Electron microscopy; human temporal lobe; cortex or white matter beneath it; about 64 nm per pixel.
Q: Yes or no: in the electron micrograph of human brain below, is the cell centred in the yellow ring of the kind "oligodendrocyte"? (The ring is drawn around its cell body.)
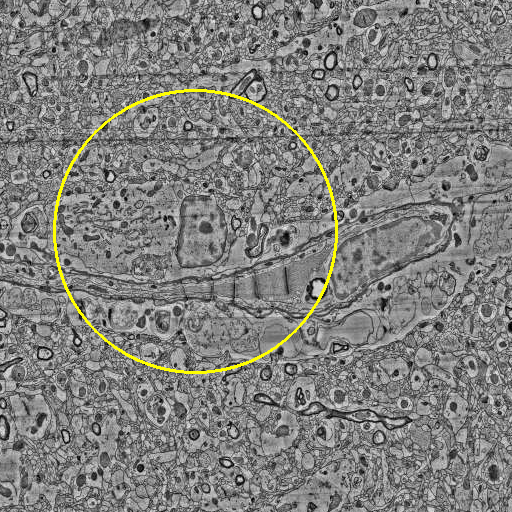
no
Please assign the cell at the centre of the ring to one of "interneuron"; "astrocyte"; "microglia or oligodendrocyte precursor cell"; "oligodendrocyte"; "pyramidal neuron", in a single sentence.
Instead, the cell inside the ring is a microglial cell or oligodendrocyte precursor cell.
